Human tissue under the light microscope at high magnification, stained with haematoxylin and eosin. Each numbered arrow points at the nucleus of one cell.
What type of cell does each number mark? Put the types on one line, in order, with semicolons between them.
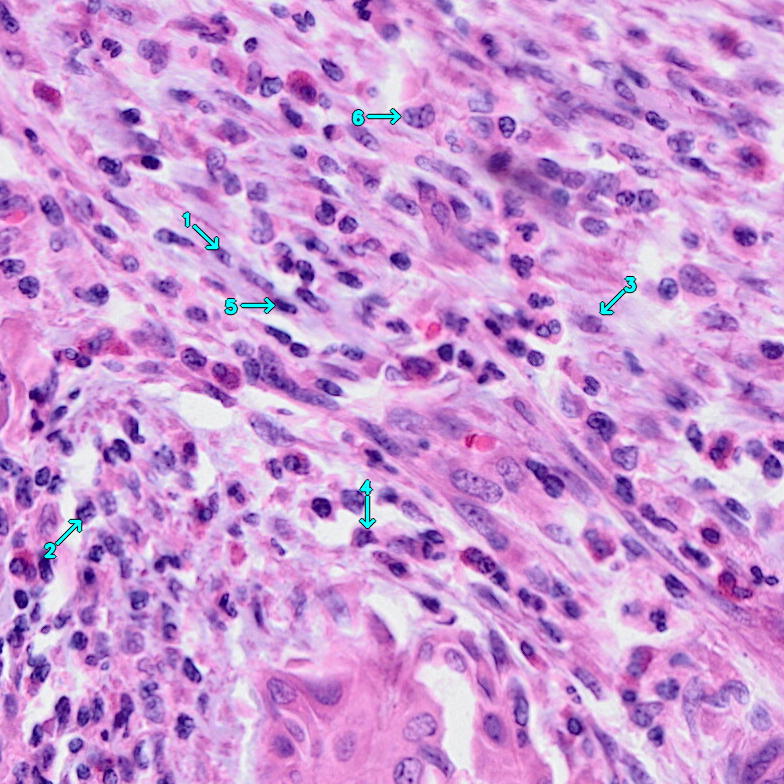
fibroblast; lymphocyte; fibroblast; macrophage or monocyte; lymphocyte; macrophage or monocyte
